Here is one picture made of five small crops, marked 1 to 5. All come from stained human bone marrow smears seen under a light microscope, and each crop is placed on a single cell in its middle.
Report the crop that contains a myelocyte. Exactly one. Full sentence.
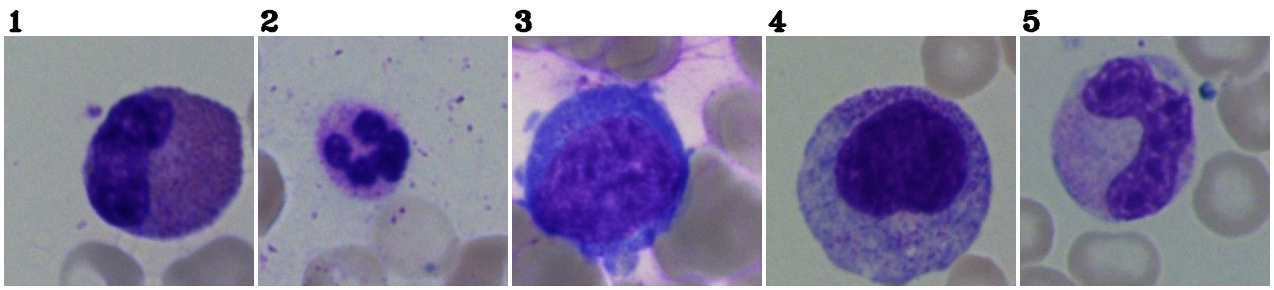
The crop marked 4 is the one that shows a myelocyte.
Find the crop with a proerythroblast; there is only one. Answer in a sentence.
Of all the crops, crop 3 is the one showing a proerythroblast.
